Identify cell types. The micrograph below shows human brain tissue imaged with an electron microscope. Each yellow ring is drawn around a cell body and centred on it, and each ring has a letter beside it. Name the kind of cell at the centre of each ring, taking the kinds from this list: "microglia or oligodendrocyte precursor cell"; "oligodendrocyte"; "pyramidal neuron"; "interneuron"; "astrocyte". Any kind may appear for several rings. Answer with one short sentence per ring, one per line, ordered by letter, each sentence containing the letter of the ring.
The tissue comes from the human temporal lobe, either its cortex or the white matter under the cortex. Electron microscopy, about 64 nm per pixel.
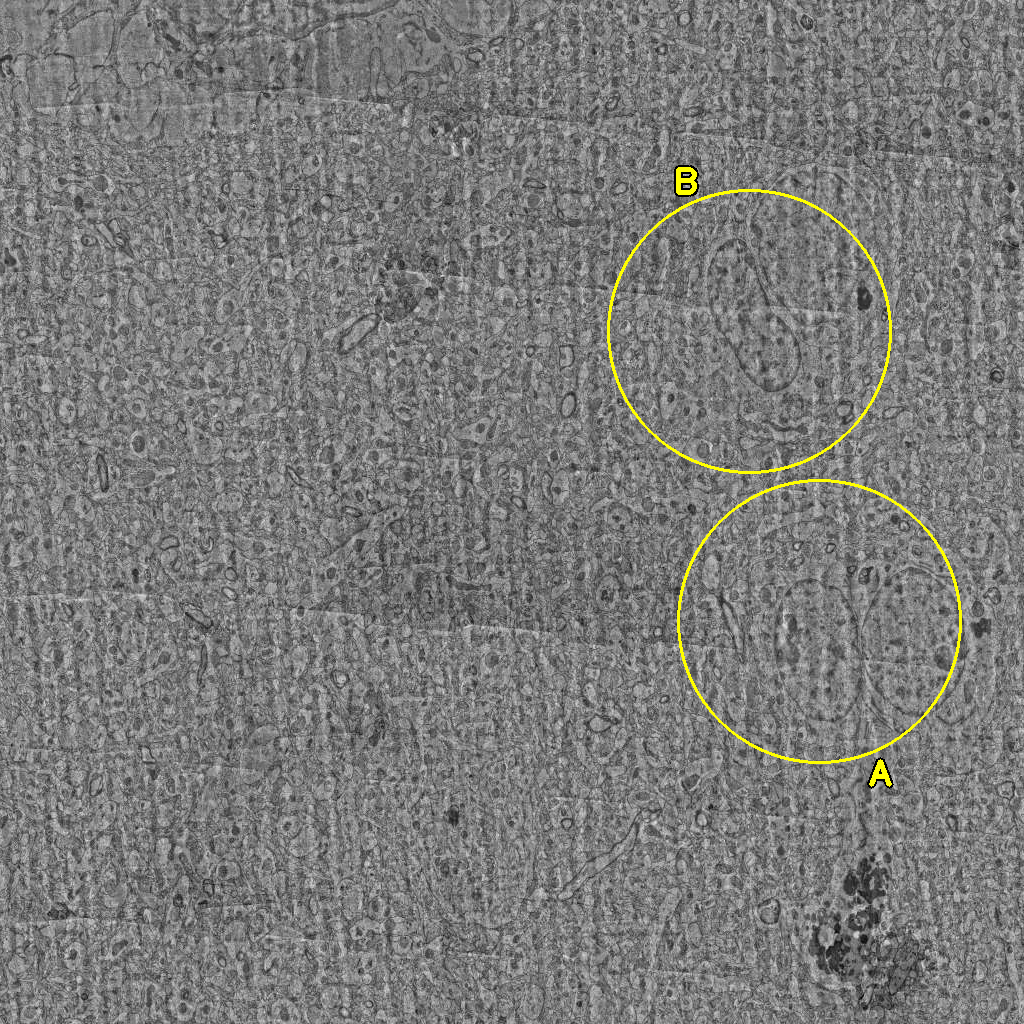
Ring A marks an astrocyte.
Ring B marks a microglial cell or oligodendrocyte precursor cell.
